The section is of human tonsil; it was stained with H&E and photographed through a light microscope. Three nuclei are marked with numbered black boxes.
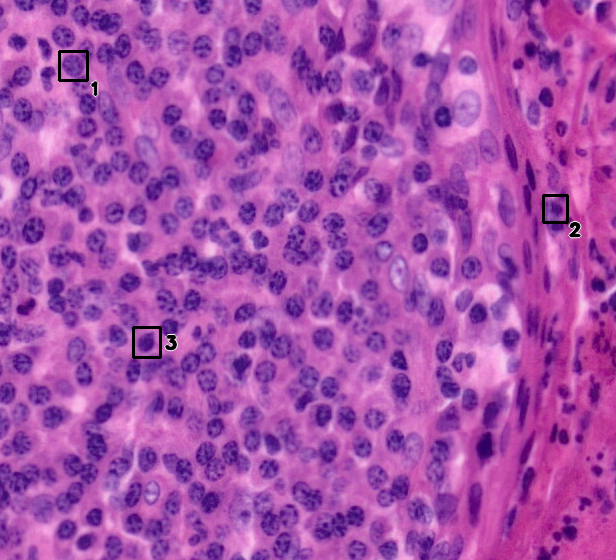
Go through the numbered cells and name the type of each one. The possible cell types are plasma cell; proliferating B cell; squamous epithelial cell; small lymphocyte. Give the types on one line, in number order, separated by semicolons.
plasma cell; squamous epithelial cell; plasma cell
